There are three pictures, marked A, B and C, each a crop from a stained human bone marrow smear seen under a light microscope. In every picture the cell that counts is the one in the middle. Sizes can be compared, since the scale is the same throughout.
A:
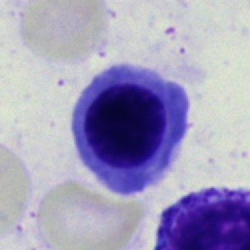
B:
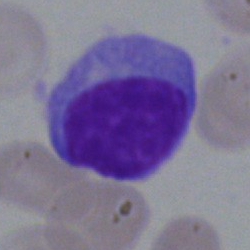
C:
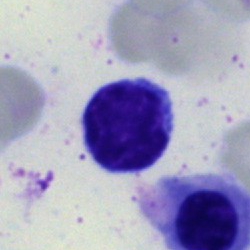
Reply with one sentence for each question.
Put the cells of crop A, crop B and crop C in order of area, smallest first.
Smallest first: C, A, B.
